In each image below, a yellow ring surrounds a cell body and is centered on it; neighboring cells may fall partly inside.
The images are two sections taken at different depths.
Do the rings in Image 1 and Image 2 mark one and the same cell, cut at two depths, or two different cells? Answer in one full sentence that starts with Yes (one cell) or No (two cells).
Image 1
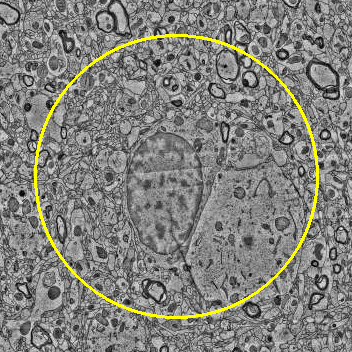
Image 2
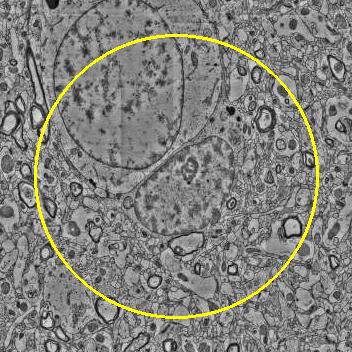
No, the two circled cells are distinct from one another.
